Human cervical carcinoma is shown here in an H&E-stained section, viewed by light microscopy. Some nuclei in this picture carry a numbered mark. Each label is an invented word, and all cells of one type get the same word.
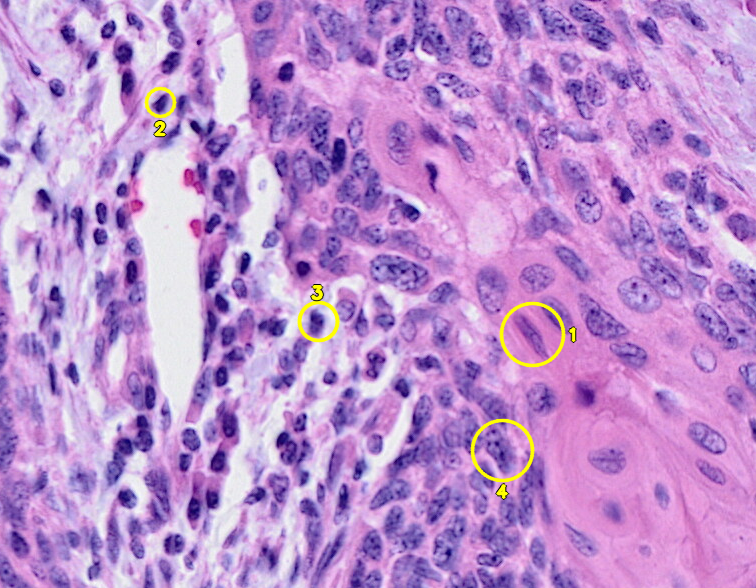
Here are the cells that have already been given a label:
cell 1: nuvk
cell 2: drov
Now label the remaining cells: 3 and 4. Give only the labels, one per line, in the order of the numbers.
drov
nuvk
